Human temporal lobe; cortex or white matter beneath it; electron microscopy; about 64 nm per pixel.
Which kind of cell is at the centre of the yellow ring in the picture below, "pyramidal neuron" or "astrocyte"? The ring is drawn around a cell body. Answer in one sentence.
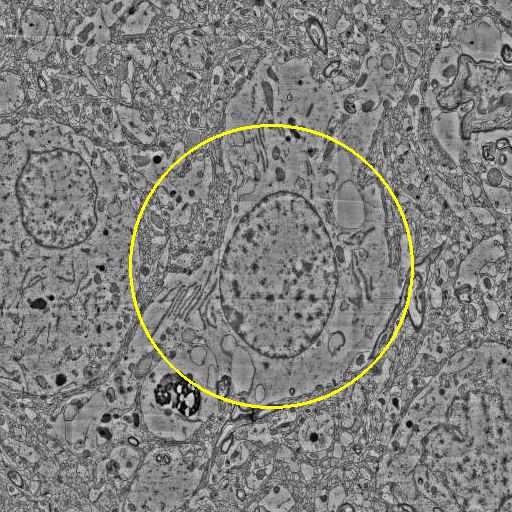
The ring's central cell is an astrocyte.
